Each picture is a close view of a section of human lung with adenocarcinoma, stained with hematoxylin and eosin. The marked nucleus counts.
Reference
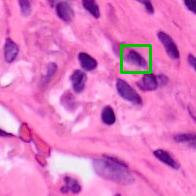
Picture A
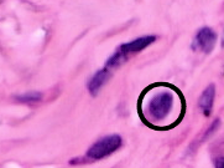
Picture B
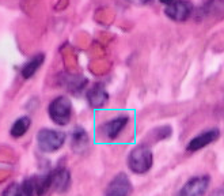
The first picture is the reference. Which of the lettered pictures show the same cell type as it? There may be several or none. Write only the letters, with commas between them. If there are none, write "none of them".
A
